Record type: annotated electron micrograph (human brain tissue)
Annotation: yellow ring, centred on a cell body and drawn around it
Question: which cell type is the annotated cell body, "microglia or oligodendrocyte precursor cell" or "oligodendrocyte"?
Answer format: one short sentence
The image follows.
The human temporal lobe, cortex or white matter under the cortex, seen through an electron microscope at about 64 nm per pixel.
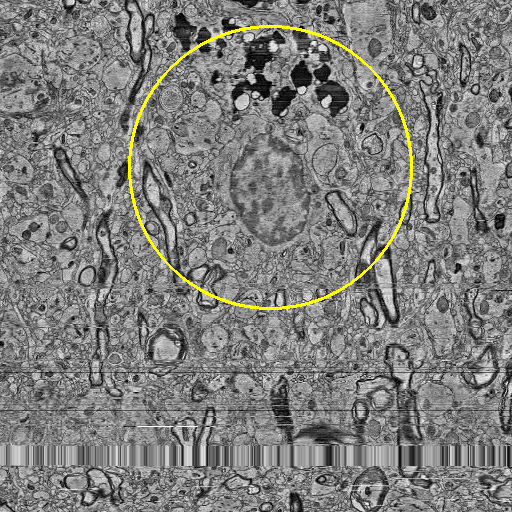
The annotated cell body is that of an oligodendrocyte.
